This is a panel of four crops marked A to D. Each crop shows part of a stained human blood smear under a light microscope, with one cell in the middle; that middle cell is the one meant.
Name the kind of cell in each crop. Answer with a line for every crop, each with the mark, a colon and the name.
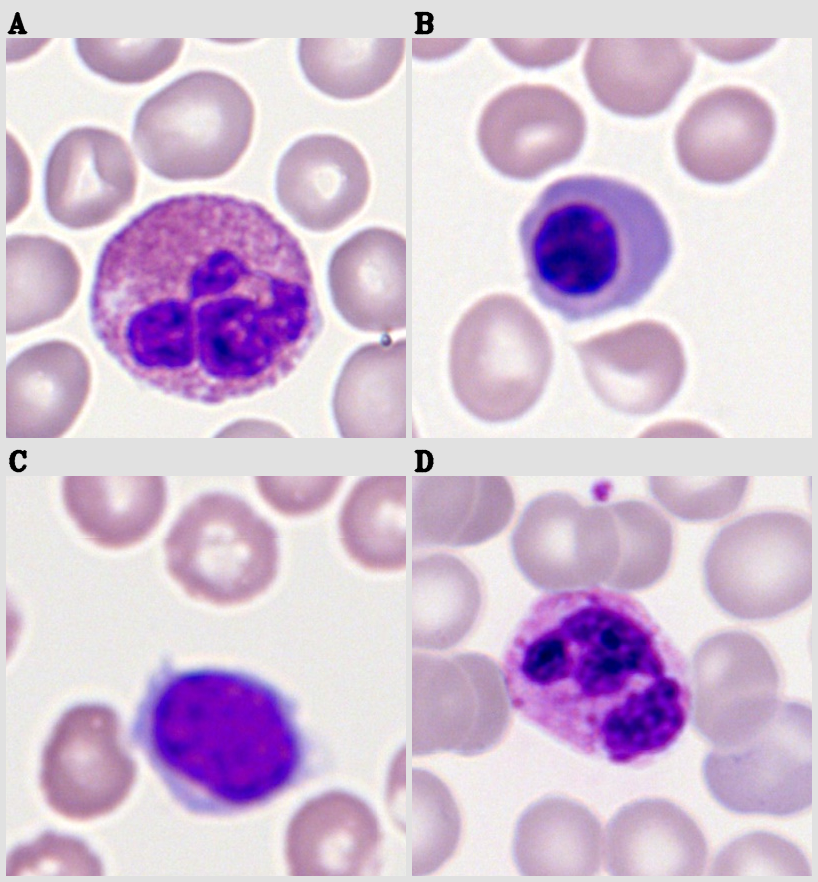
A: eosinophil
B: erythroblast
C: lymphocyte
D: basophil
